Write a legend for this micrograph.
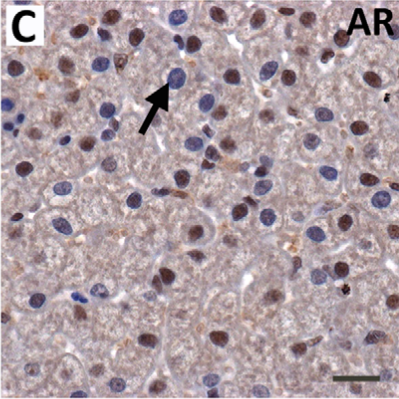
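This is liver at high power, and nearly every cell you see is a hepatocyte. They are large polygonal cells packed in cords, with thin pale slits of sinusoid running between them. Each has one round, central nucleus. The cytoplasm is pale tan and finely granular to slightly foamy. Small dark elongated nuclei along the sinusoids belong to the lining cells rather than to hepatocytes.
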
